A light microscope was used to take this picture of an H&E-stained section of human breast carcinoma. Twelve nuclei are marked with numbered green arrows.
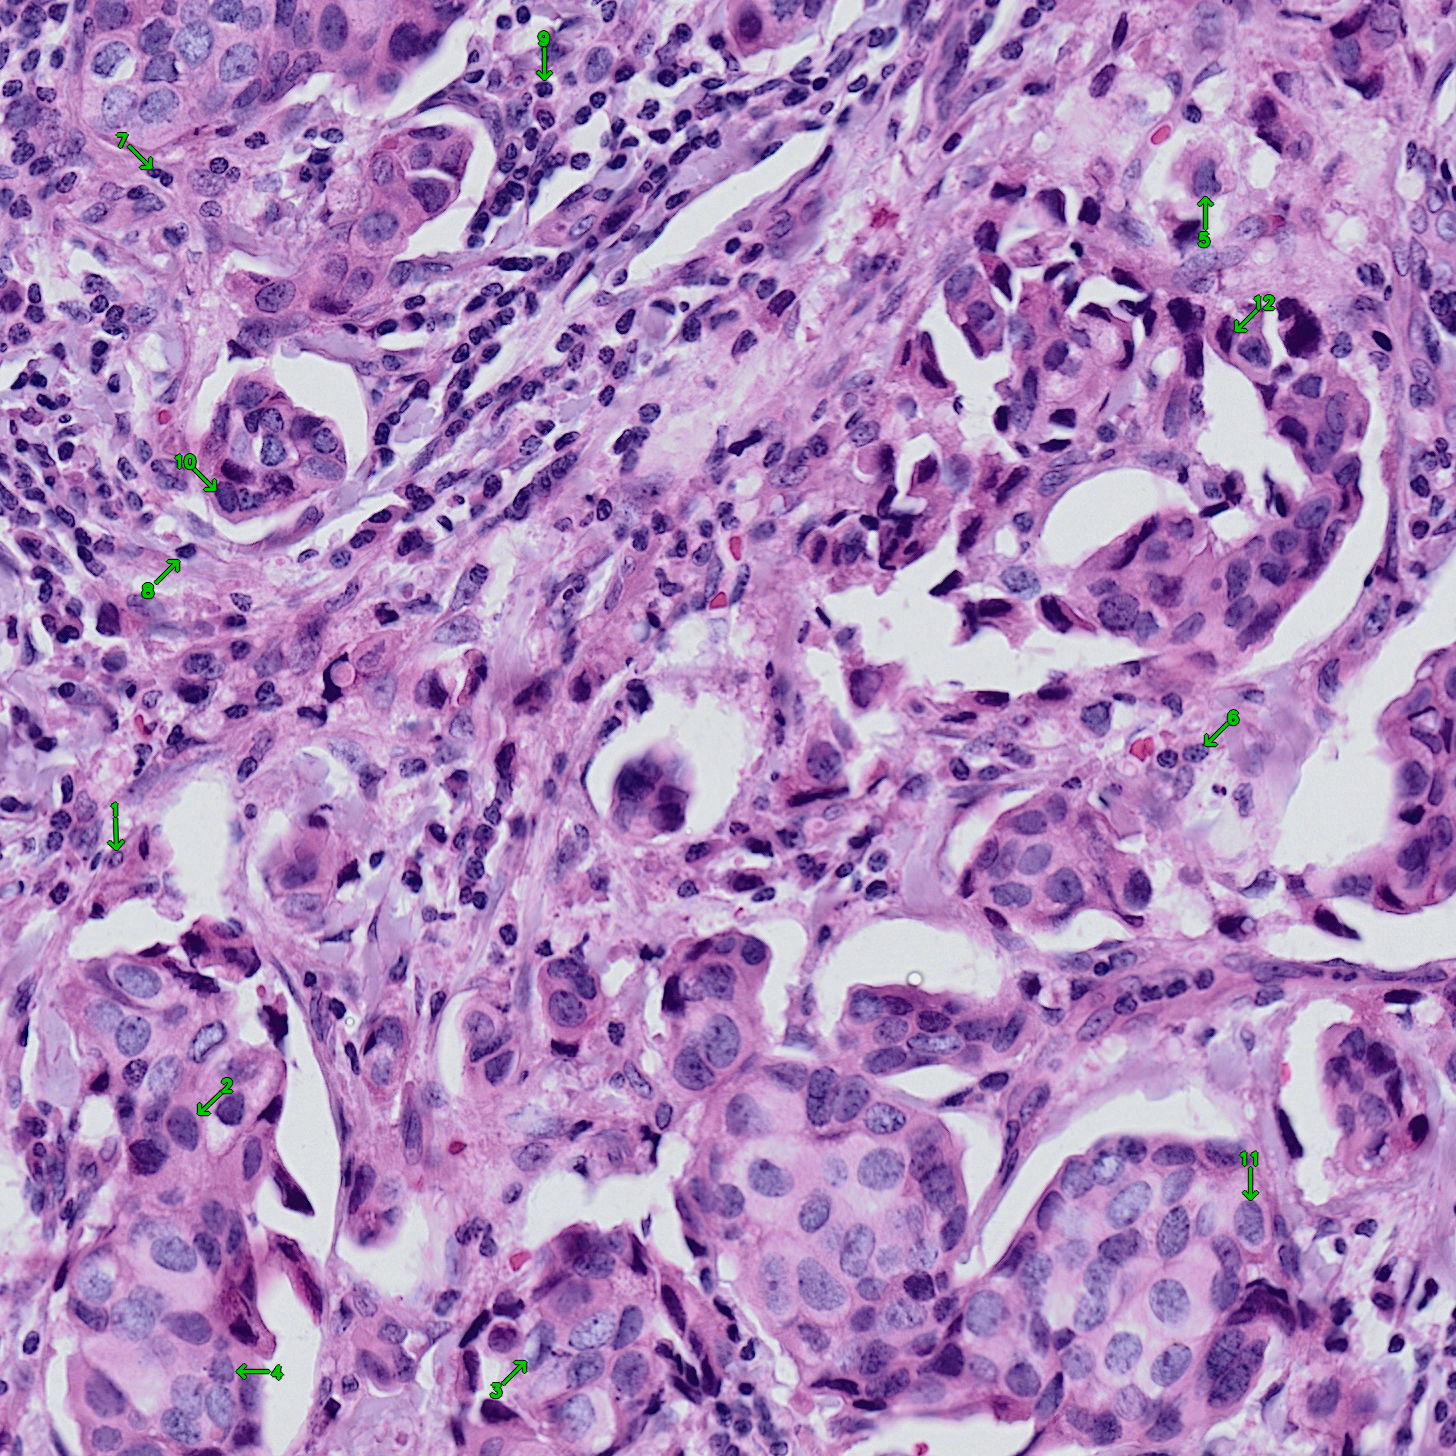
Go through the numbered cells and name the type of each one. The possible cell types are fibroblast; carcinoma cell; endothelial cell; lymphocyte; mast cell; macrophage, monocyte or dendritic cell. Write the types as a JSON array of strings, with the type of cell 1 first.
["endothelial cell", "carcinoma cell", "carcinoma cell", "carcinoma cell", "carcinoma cell", "mast cell", "lymphocyte", "lymphocyte", "lymphocyte", "carcinoma cell", "carcinoma cell", "carcinoma cell"]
